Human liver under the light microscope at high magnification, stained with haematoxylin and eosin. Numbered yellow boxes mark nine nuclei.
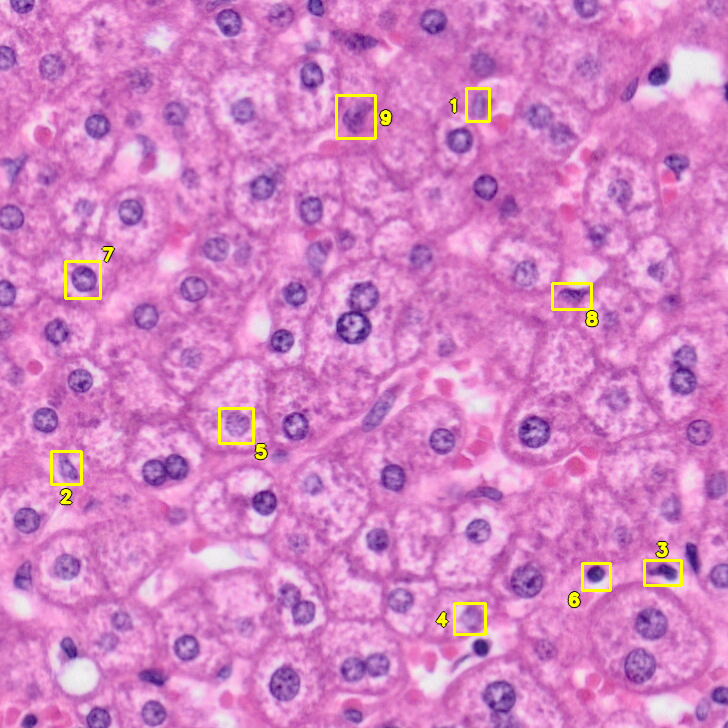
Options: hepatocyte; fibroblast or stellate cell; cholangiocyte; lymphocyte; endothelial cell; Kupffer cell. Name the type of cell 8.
endothelial cell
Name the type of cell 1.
Kupffer cell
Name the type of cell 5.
hepatocyte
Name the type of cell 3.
lymphocyte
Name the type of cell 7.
hepatocyte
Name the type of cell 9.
endothelial cell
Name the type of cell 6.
lymphocyte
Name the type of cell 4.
hepatocyte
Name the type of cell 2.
Kupffer cell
